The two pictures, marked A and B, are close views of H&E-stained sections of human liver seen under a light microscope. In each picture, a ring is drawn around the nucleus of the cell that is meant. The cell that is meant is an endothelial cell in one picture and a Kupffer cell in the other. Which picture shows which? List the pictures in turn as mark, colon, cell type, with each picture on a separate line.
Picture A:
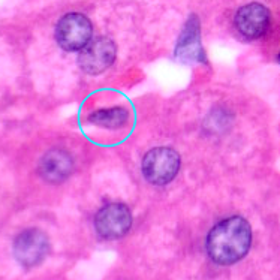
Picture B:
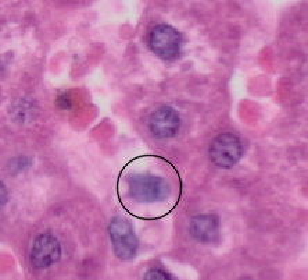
A: Kupffer cell
B: endothelial cell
